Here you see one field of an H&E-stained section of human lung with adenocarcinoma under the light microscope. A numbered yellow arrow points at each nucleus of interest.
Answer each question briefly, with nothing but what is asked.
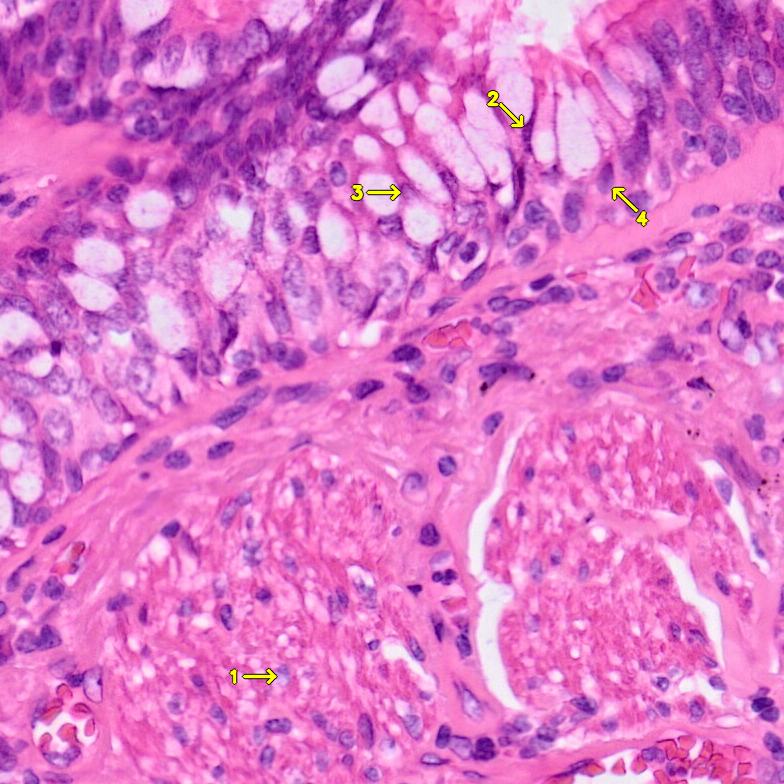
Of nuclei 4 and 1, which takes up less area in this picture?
1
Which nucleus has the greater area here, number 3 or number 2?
2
